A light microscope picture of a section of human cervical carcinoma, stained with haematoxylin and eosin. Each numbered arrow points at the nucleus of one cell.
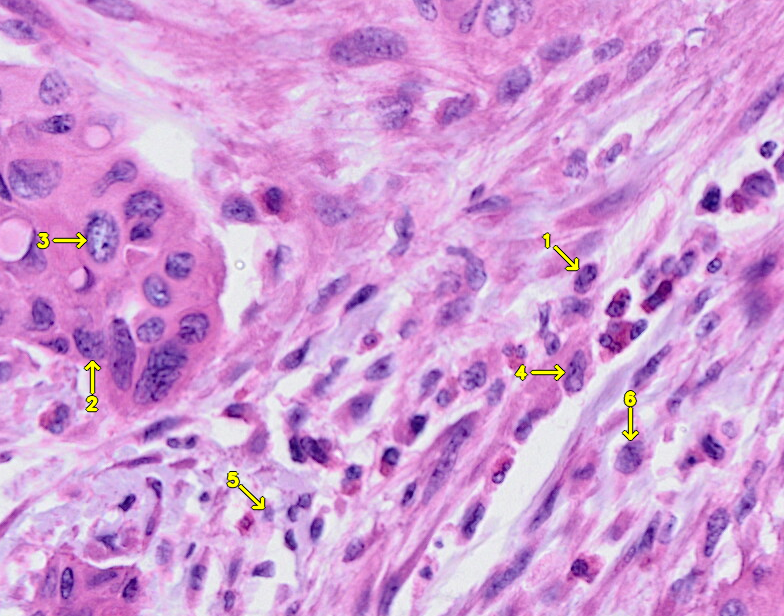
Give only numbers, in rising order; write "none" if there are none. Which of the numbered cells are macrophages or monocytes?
1, 4, 6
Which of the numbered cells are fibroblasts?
5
